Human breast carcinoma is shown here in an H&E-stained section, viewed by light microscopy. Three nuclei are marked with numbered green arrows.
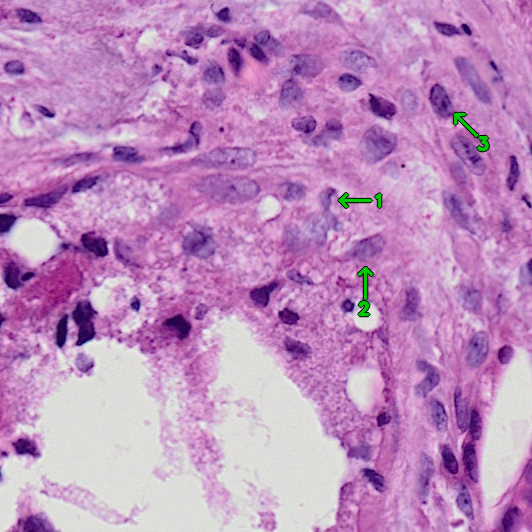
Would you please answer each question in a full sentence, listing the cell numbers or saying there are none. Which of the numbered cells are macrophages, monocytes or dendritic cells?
Here, the cells that carry numbers 1 and 3 are macrophages, monocytes or dendritic cells.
